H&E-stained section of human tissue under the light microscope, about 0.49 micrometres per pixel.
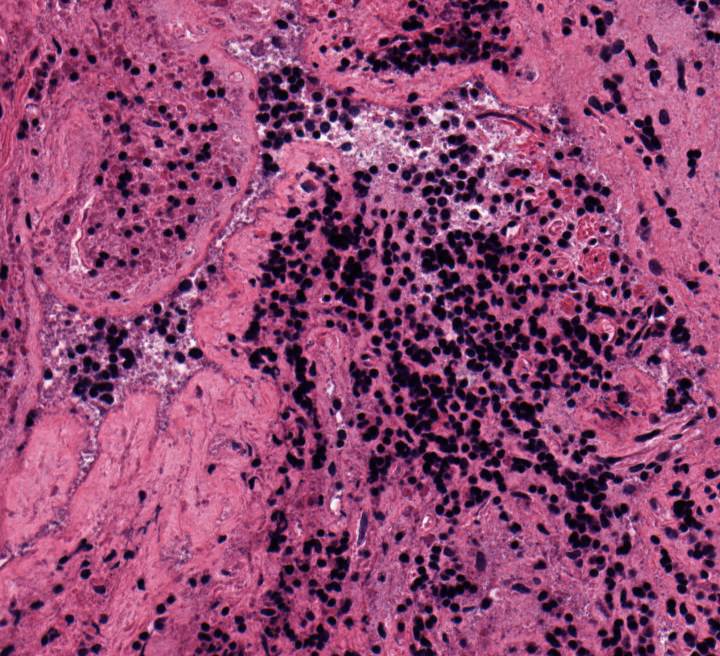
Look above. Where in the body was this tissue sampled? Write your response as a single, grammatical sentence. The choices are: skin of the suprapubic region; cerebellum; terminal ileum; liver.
This section represents tissue sampled from the terminal ileum.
